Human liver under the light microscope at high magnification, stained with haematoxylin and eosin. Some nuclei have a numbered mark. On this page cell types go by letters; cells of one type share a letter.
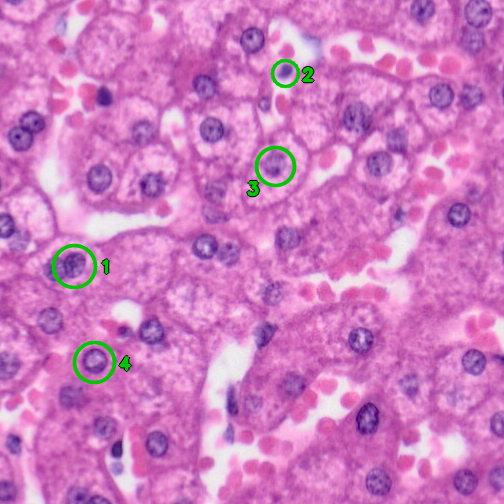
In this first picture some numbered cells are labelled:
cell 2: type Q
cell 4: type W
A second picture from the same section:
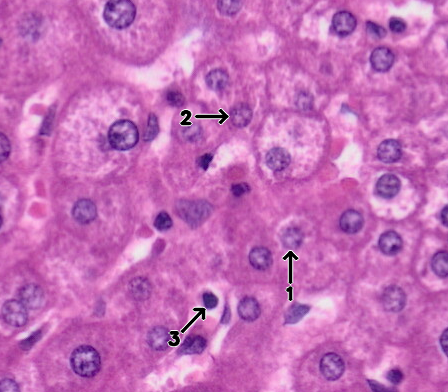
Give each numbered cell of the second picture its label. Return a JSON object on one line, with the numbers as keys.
{"1": "type W", "2": "type W", "3": "type Q"}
